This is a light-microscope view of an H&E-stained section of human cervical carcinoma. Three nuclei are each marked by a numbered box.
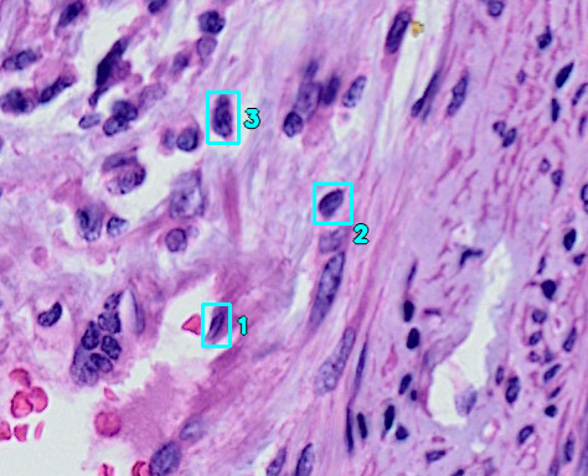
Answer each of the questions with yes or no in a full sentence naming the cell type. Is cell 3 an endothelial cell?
No, cell 3 is not an endothelial cell: it is a lymphocyte.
